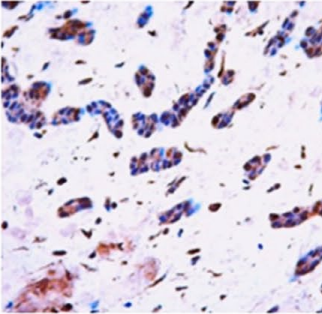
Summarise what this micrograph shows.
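This field shows small groups and short strands of epithelial cells scattered through loose, pale connective tissue. Each cluster holds a few cells with rounded blue nuclei, and the cytoplasm around them is stained brown; some nuclei also look brownish. The clusters are round, oval or elongated, and some line up in a curving chain across the upper part of the field. Between them the stroma is loose and lightly stained, with scattered small spindle-shaped nuclei, and a patch of diffuse brown-pink material sits at the lower left.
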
